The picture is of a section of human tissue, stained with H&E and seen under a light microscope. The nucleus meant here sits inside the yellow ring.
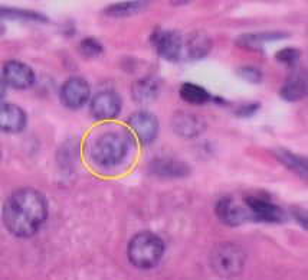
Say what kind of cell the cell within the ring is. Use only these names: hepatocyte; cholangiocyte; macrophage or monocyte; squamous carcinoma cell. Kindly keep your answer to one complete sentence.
Within this tissue, the cell within the ring is a cholangiocyte.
